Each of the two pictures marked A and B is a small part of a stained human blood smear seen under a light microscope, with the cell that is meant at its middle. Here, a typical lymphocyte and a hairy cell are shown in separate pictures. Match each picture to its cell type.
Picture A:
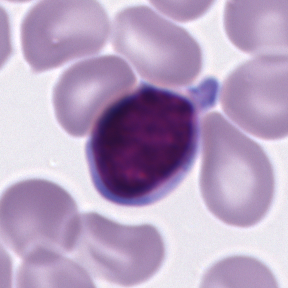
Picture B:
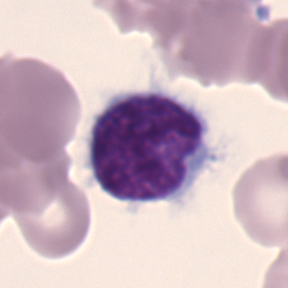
A: typical lymphocyte
B: hairy cell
